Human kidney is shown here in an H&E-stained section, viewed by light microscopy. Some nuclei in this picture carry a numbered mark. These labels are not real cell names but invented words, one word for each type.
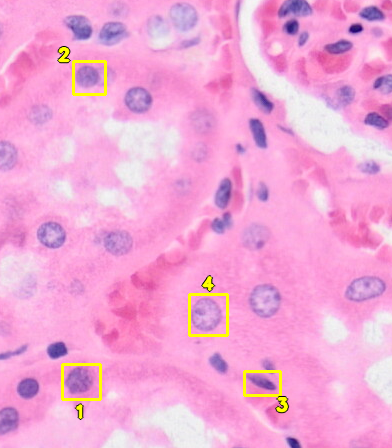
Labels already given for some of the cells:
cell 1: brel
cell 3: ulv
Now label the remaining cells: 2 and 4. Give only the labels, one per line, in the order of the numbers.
brel
brel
